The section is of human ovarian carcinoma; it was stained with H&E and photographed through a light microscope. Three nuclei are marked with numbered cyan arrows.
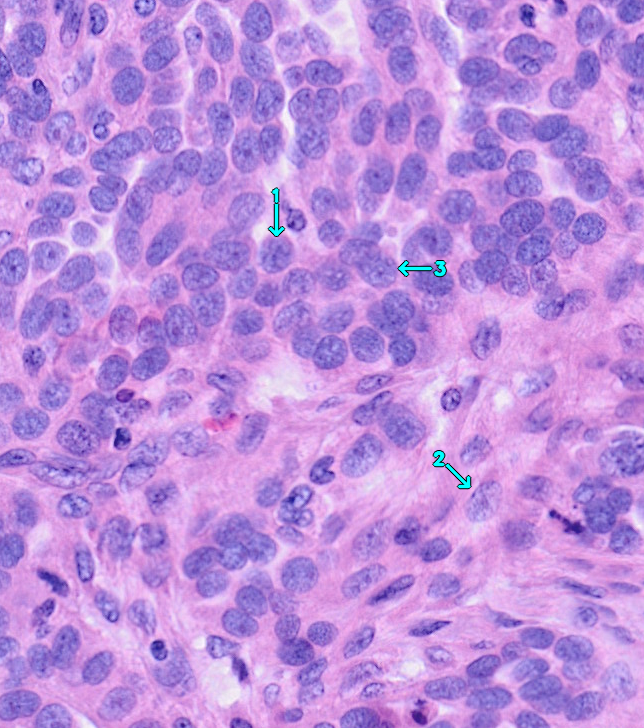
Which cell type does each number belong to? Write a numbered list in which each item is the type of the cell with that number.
1. carcinoma cell
2. fibroblast
3. carcinoma cell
